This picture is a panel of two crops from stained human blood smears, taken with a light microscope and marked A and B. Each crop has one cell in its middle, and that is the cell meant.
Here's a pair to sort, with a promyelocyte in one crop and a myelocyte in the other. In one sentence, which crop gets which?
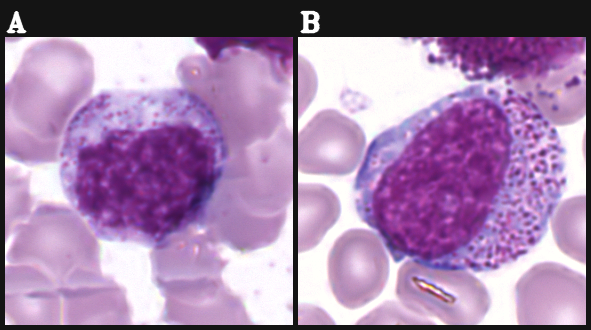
In crop A, a myelocyte is present; in crop B, a promyelocyte is present.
